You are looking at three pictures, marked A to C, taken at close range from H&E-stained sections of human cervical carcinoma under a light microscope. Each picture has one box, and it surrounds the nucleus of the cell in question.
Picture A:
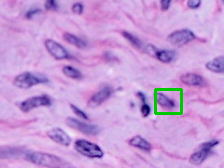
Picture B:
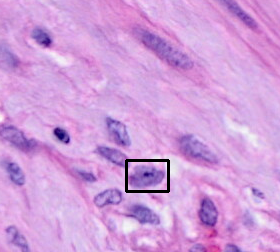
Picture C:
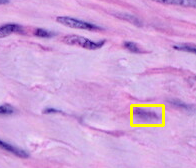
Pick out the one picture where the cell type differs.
B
